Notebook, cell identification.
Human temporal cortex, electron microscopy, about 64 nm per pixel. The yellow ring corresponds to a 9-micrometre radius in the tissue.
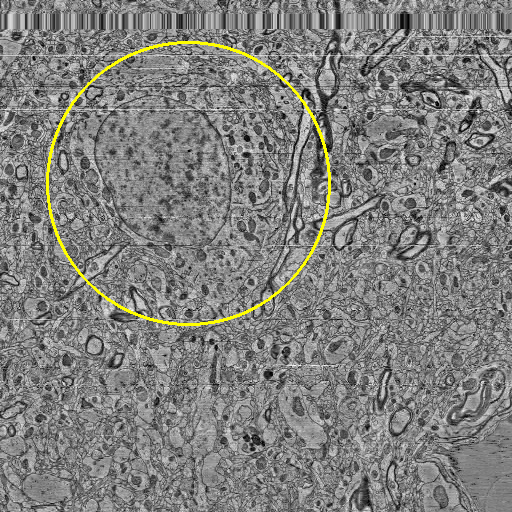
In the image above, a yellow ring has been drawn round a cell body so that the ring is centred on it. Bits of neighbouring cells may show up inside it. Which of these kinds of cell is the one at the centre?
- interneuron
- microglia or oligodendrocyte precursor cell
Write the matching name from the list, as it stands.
interneuron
